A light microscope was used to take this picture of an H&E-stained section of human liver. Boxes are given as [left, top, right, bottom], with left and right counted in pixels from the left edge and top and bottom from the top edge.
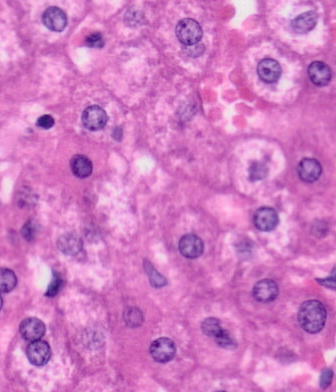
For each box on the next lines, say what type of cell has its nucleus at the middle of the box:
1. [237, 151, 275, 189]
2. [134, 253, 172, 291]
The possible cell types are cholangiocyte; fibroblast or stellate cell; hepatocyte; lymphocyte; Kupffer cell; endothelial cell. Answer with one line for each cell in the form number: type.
1: hepatocyte
2: Kupffer cell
